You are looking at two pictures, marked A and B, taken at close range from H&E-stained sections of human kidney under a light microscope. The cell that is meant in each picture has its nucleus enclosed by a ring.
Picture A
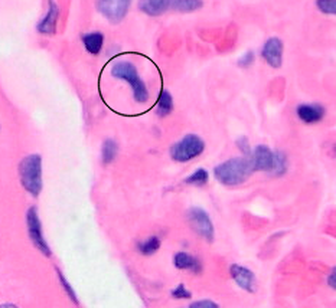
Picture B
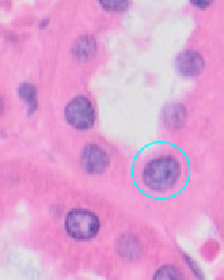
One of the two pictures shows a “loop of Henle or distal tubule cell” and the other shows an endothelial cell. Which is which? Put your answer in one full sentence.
Picture A shows an endothelial cell and picture B shows a “loop of Henle or distal tubule cell”.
